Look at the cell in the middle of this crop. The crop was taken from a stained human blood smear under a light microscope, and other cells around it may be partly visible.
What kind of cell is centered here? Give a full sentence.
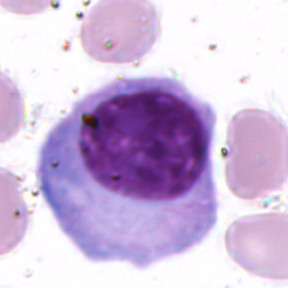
In this crop, the cell at the very middle is a plasma cell.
